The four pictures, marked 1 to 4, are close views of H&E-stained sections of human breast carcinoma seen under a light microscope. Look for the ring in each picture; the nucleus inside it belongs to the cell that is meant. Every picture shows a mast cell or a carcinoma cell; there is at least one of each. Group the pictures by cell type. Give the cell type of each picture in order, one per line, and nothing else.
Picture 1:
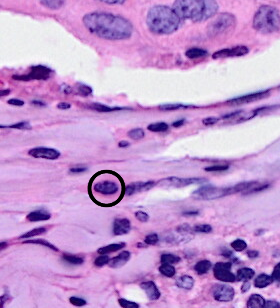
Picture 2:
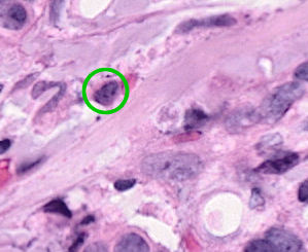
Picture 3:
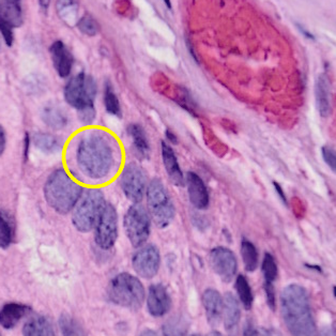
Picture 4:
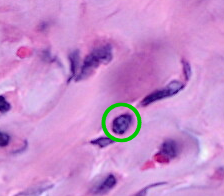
mast cell
mast cell
carcinoma cell
mast cell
